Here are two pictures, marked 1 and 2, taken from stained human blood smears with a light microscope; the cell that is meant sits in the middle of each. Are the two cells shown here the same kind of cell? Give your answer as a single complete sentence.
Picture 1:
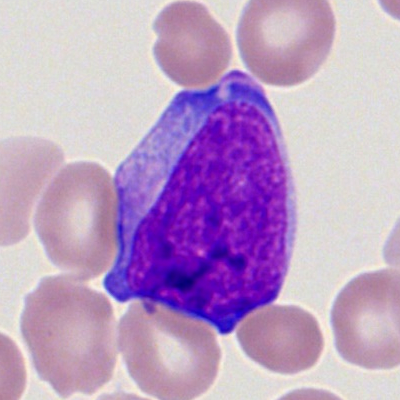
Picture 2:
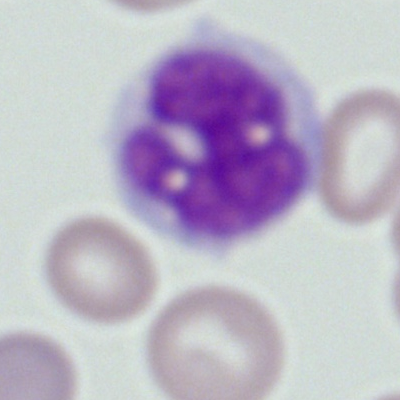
No, they differ: the cell is a myeloblast in picture 1 and a monocyte in picture 2.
